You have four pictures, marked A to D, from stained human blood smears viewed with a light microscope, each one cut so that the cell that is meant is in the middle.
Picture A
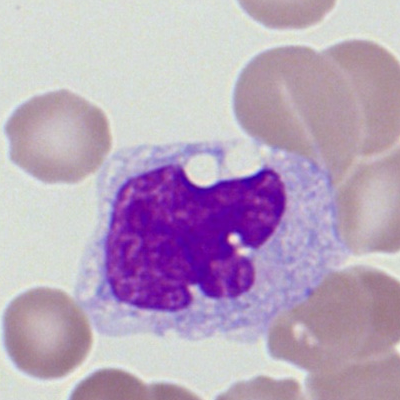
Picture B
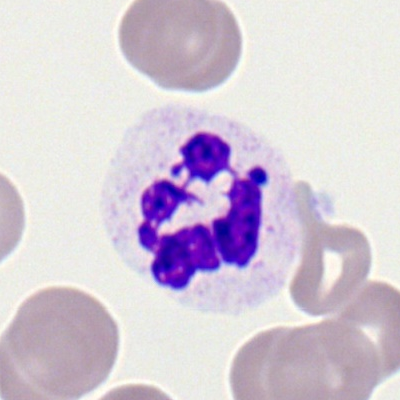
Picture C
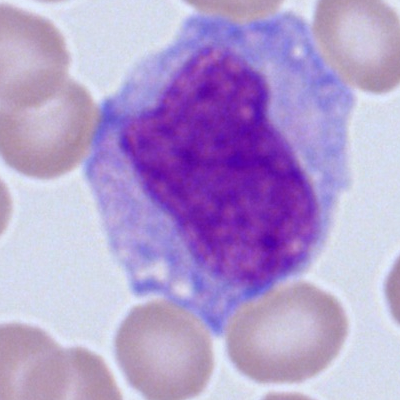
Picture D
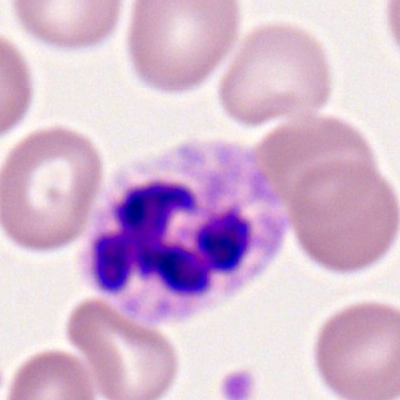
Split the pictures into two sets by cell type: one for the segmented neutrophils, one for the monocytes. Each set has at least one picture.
A: monocyte
B: segmented neutrophil
C: monocyte
D: segmented neutrophil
